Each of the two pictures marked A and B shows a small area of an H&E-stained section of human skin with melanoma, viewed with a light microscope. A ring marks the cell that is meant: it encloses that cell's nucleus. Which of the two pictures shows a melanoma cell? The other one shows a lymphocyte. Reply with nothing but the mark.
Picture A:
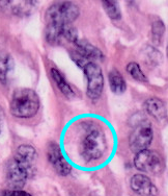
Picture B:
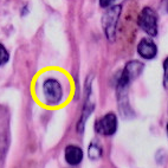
A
